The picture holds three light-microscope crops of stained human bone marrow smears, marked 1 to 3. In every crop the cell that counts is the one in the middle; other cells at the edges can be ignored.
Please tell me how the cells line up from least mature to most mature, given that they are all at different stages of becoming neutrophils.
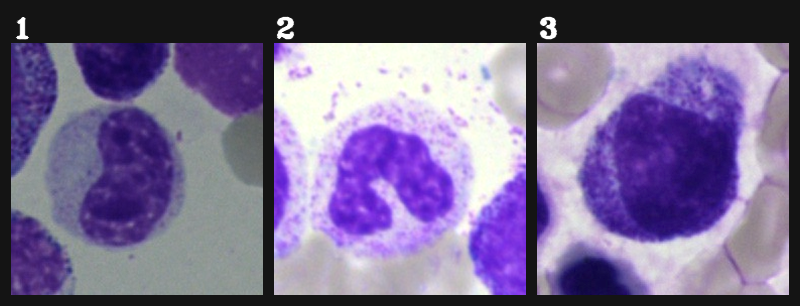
3, 1, 2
